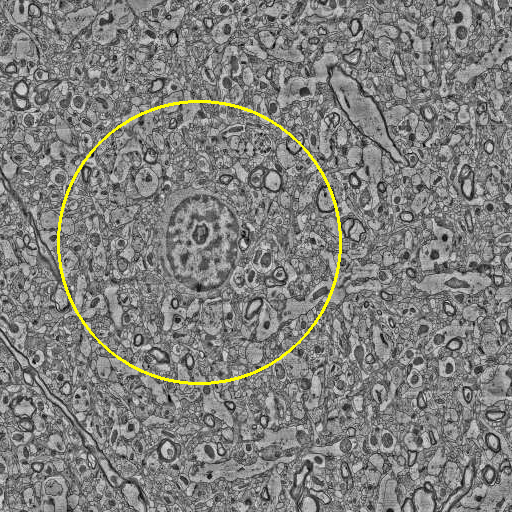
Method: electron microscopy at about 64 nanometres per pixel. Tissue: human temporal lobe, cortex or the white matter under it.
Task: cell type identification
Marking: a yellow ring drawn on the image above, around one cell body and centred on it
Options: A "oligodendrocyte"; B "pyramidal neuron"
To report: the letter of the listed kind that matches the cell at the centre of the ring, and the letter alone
A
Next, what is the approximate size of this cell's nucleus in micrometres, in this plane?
The nucleus works out at approximately 6 by 5 micrometres in this plane.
